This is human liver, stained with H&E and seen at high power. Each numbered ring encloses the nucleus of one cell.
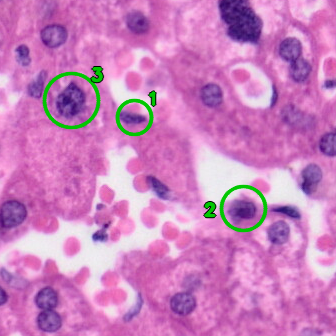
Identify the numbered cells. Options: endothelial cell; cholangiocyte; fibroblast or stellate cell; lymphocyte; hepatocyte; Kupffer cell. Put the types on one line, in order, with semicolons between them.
fibroblast or stellate cell; Kupffer cell; hepatocyte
